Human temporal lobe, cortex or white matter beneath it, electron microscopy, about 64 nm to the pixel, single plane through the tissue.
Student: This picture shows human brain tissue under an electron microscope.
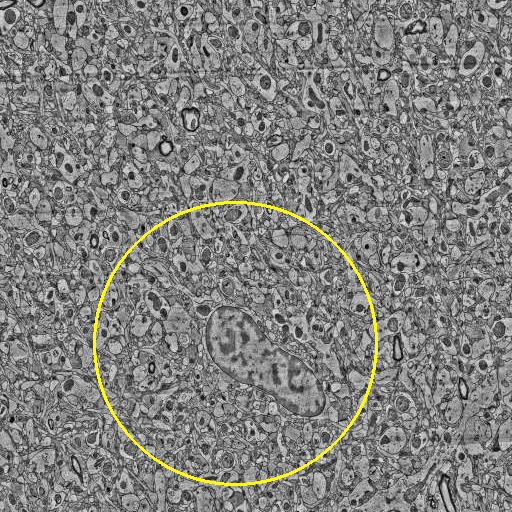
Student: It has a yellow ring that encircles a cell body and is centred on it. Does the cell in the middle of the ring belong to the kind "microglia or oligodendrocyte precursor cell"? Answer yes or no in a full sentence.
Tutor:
Yes, the cell in the middle of the ring in this picture is of that kind.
